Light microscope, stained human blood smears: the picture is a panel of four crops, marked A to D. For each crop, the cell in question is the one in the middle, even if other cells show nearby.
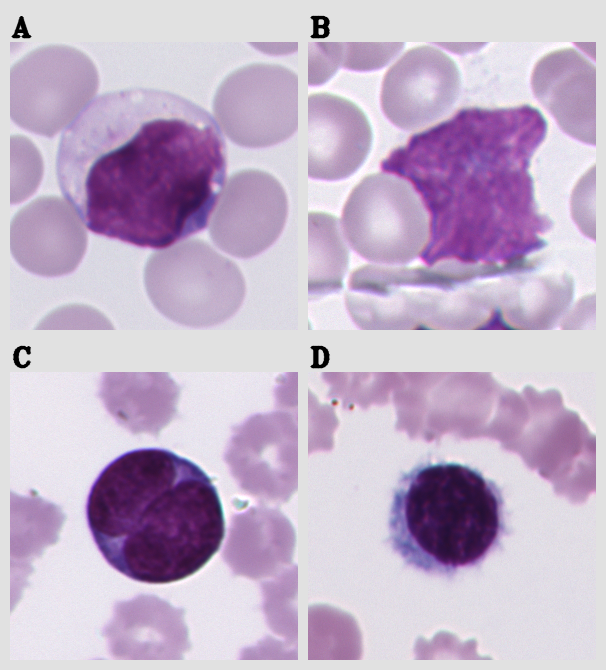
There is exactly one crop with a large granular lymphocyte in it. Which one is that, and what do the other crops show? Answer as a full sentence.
Found in crop A is a large granular lymphocyte, whereas crop B is a smudge cell, crop C is a myeloblast and crop D is a hairy cell.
